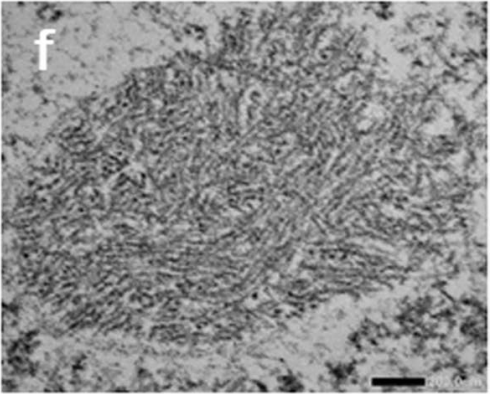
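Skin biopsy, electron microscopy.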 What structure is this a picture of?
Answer: Tubule-filamentous material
